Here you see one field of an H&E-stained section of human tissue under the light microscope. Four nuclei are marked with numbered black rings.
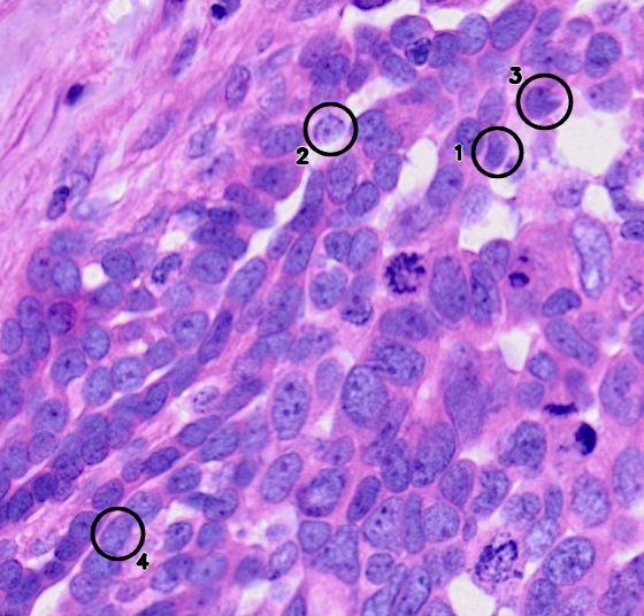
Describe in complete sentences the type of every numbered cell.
Cells 1, 3 and 4 are carcinoma cells. Cell 2 is a macrophage or monocyte.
